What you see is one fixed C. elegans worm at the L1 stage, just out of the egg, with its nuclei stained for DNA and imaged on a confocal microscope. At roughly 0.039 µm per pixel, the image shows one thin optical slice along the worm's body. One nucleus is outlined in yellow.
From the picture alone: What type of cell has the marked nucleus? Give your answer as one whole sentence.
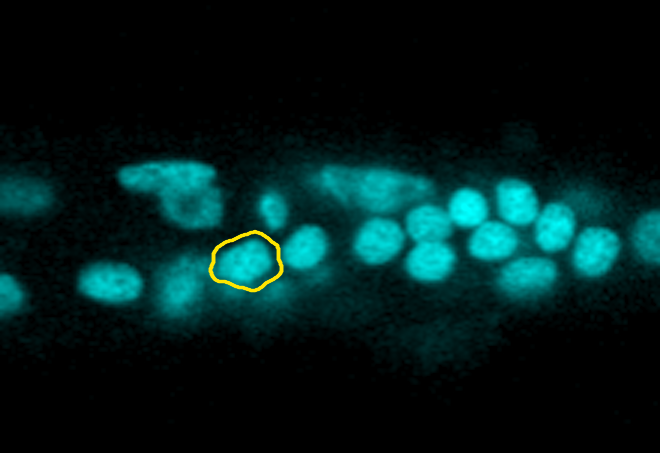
It belongs to an enteric muscle cell.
